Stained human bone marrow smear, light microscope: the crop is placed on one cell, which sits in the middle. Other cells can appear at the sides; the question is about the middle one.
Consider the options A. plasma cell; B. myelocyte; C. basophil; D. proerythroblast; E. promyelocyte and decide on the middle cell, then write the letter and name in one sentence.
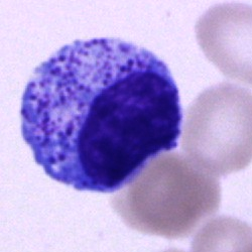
It is a myelocyte that occupies the centre of the crop, so option B is correct.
